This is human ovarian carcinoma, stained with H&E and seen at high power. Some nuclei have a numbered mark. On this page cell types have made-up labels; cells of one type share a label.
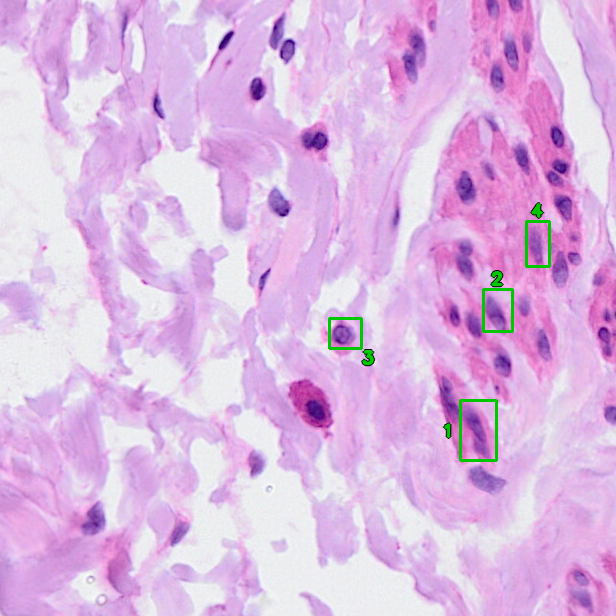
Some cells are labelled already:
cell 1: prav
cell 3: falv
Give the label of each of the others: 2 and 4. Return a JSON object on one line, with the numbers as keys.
{"2": "prav", "4": "prav"}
